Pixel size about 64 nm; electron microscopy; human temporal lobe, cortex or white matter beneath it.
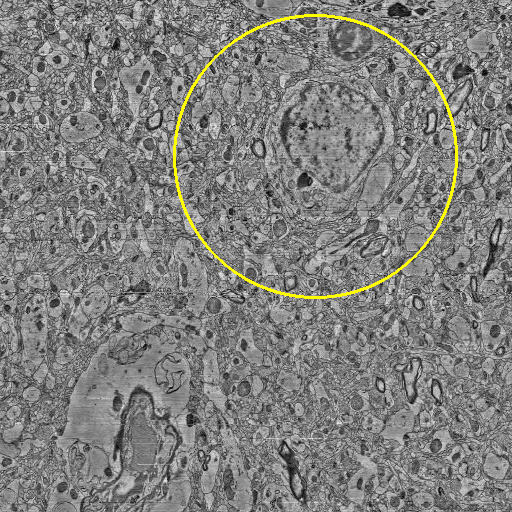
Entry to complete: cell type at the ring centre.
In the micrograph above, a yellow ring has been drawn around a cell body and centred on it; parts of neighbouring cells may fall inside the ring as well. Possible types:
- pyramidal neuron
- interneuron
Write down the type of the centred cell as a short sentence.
The ring is centred on an interneuron.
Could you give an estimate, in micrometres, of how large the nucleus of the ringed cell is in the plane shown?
In this plane, the nucleus measures approximately 7 micrometres across.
